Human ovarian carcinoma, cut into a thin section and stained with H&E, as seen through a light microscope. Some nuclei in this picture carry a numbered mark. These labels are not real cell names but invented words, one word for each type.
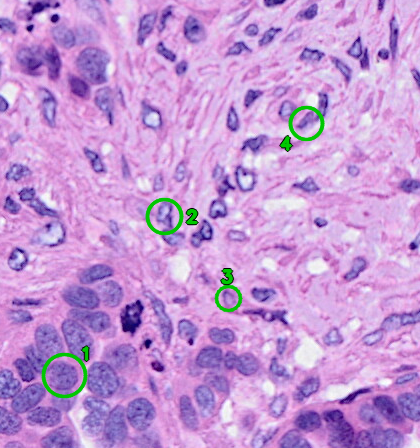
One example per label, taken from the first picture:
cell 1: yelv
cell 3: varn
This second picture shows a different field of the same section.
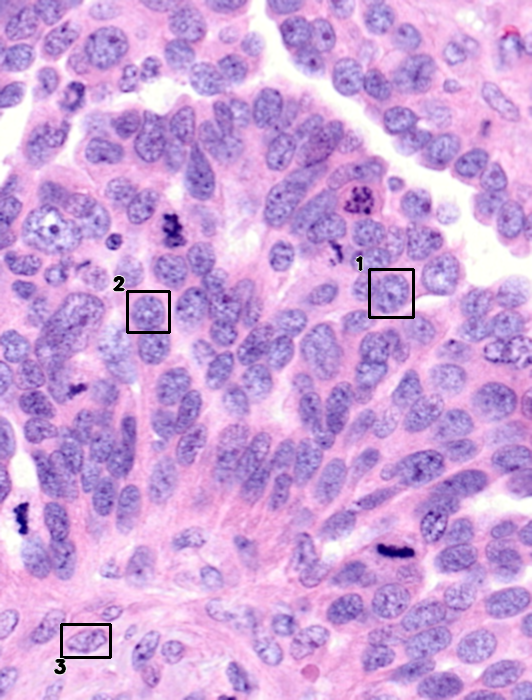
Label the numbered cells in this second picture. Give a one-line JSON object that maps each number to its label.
{"1": "yelv", "2": "yelv", "3": "varn"}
